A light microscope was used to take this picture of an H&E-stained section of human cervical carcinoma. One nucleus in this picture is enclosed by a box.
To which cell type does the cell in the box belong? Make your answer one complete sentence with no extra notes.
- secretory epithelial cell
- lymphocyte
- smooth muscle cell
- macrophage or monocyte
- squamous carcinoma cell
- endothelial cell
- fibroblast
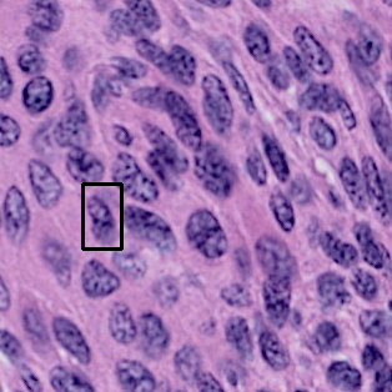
Right, so the cell in the box is a squamous carcinoma cell, to answer that.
